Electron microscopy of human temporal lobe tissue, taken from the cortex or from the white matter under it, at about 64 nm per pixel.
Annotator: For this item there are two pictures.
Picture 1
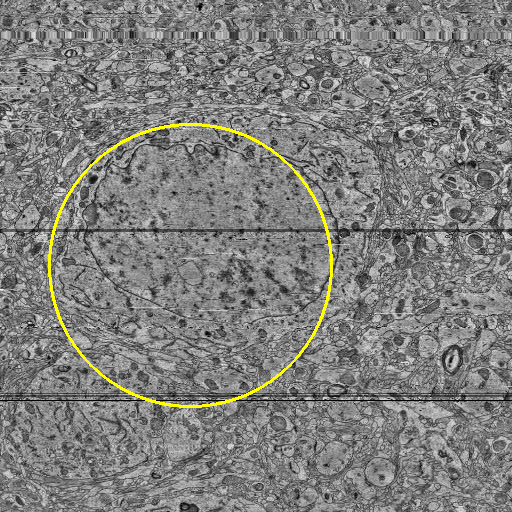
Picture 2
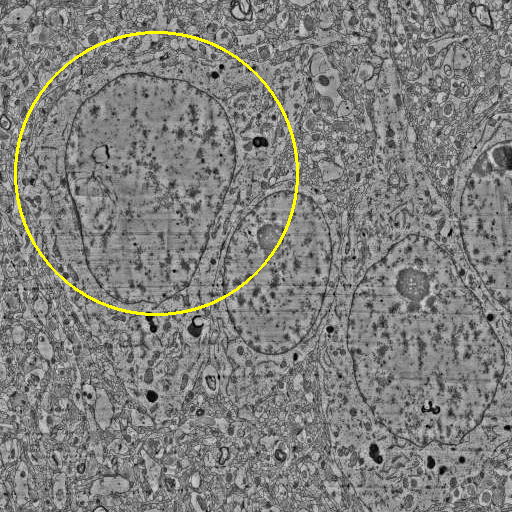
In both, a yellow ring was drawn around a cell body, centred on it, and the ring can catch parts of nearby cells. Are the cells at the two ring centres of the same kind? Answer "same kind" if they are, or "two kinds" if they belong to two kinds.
same kind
